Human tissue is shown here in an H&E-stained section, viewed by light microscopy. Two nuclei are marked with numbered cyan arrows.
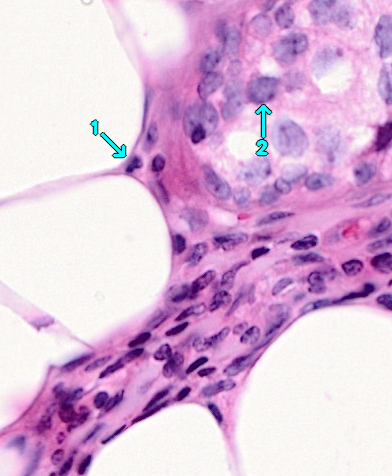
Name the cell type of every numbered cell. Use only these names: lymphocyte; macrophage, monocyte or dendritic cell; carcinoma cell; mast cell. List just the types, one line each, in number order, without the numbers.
lymphocyte
carcinoma cell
